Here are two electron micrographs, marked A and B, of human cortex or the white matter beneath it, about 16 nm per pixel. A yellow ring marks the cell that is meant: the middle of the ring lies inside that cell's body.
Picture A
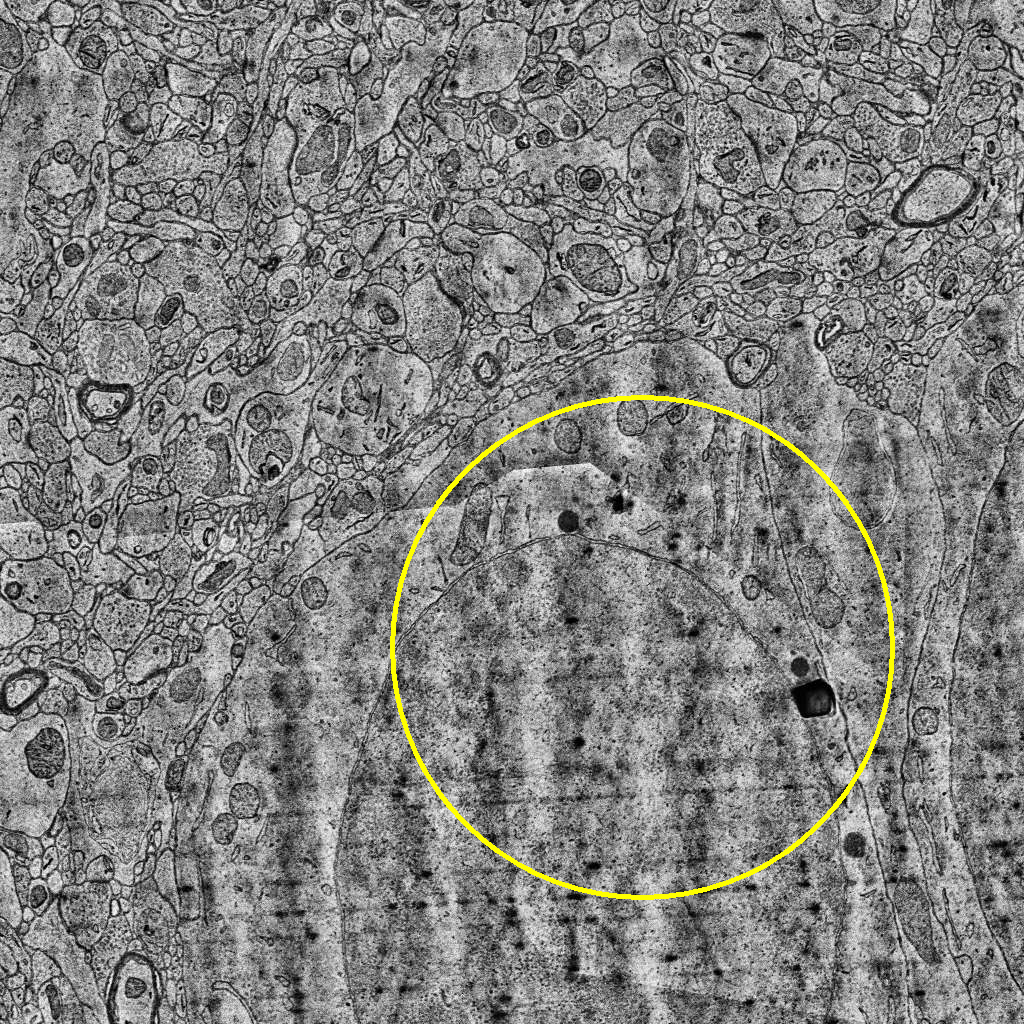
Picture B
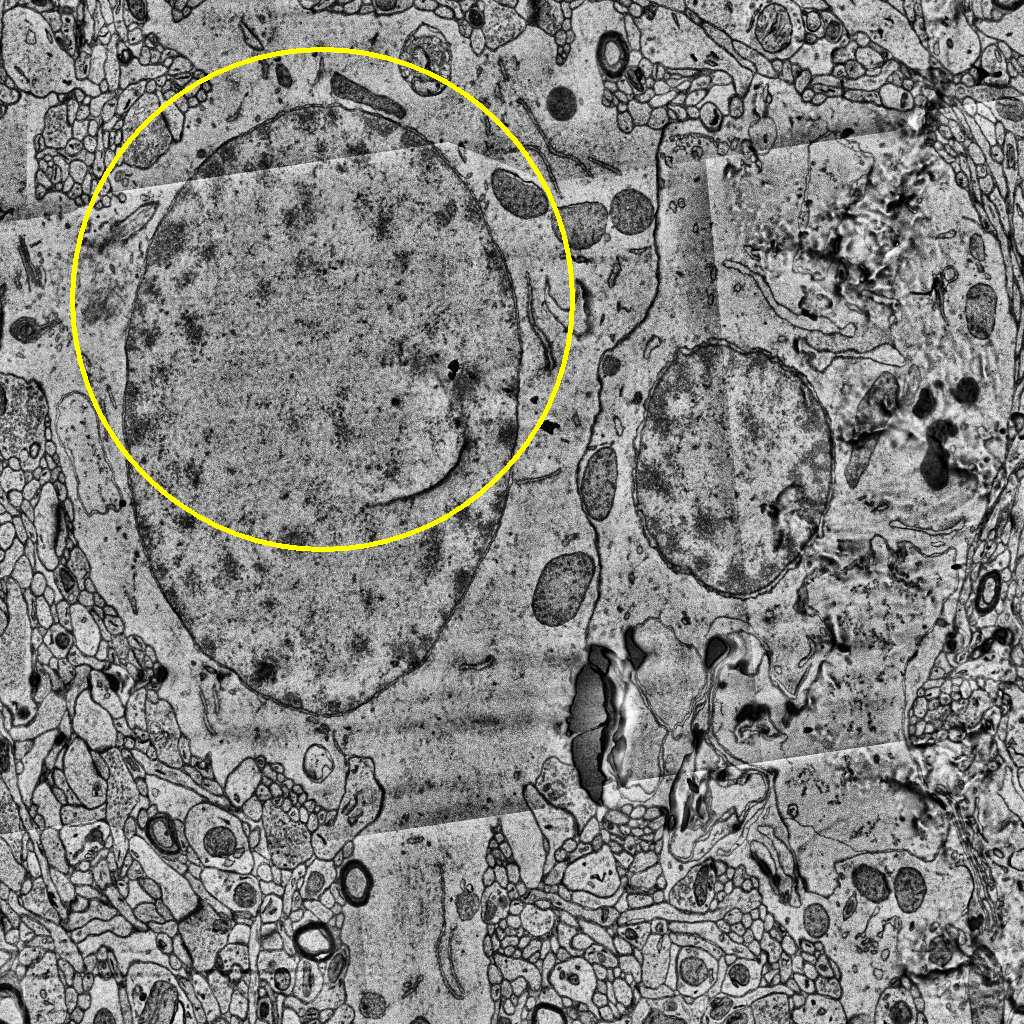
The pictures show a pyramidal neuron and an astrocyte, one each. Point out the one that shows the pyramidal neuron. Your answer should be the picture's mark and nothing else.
A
